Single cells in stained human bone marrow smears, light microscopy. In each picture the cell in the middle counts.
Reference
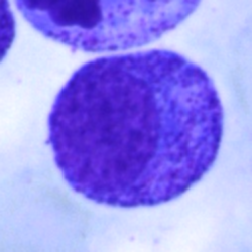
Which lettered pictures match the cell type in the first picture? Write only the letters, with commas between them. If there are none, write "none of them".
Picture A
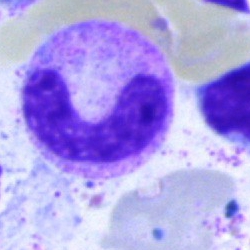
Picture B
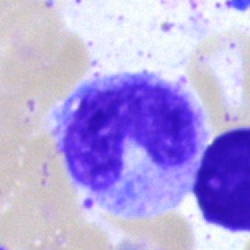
none of them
